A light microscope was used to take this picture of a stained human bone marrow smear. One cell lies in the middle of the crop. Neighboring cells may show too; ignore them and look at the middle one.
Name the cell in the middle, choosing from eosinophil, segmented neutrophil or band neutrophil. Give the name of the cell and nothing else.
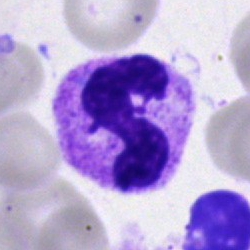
band neutrophil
